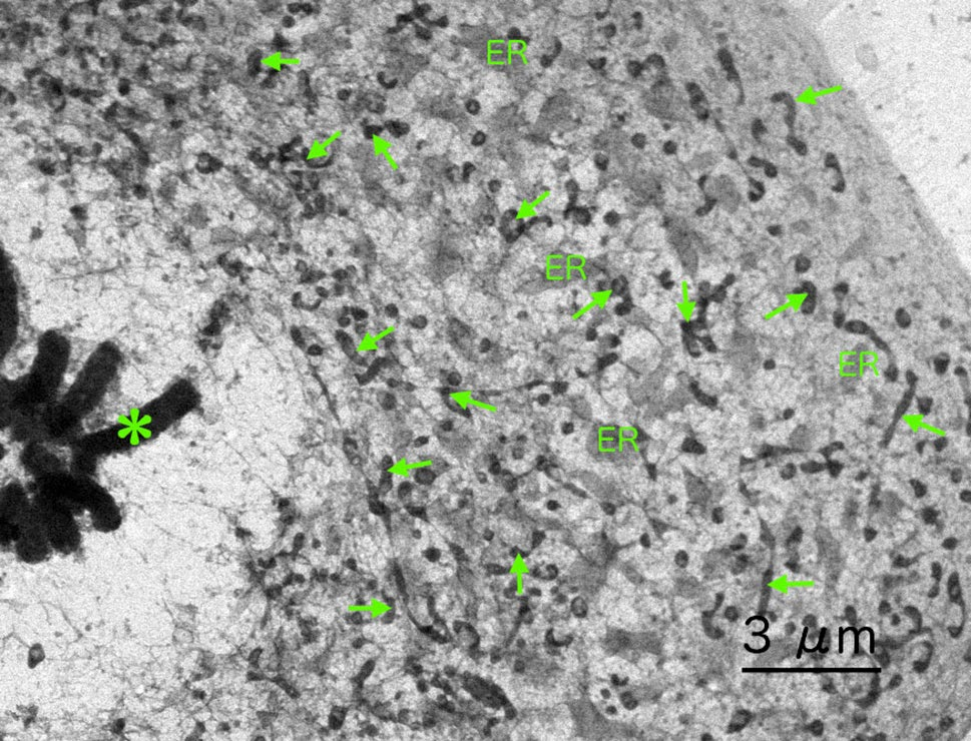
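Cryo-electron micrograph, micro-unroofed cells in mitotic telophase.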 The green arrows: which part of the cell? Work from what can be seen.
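The arrows point to small, dark, electron-dense profiles. The marked profiles are elongated, curved or rod-like, and some are round. Many similar dark profiles are scattered throughout the cytoplasm among a paler reticular network. On this evidence: mitochondria.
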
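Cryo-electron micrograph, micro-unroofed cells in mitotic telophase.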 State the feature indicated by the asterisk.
Chromosomes.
